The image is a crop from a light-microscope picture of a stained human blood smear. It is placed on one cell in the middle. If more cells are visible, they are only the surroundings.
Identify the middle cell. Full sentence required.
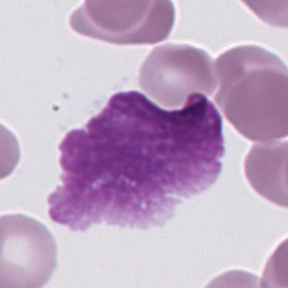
In short, the cell at the center is a smudge cell.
